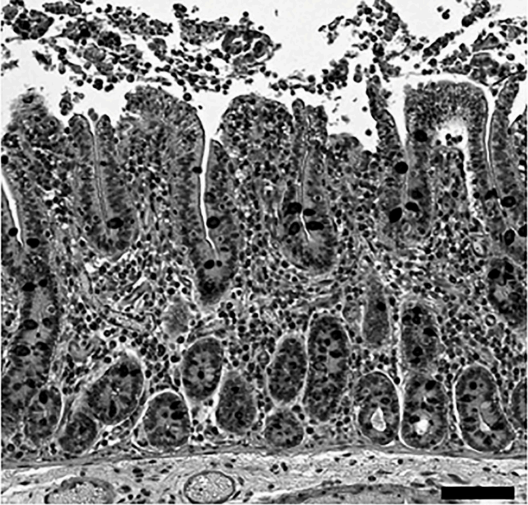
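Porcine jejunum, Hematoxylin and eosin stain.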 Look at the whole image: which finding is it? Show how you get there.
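Sloughing of epithelium into the intestinal lumen. Clumps of detached cells and debris lie free in the space above the villus tips. The villi are short and blunt with ragged tips.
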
